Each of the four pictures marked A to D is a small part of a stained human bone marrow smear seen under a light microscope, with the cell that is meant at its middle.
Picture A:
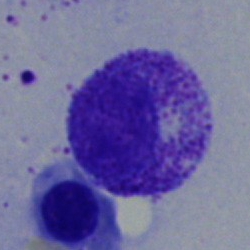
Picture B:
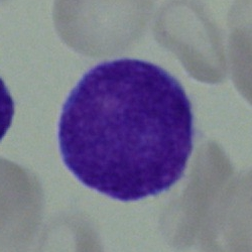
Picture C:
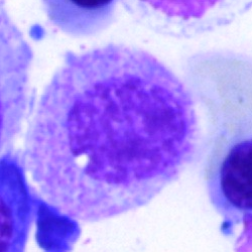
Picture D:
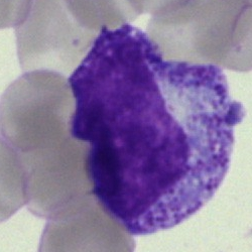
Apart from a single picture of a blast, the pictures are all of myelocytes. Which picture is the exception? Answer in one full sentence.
The cell in picture B is the blast.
